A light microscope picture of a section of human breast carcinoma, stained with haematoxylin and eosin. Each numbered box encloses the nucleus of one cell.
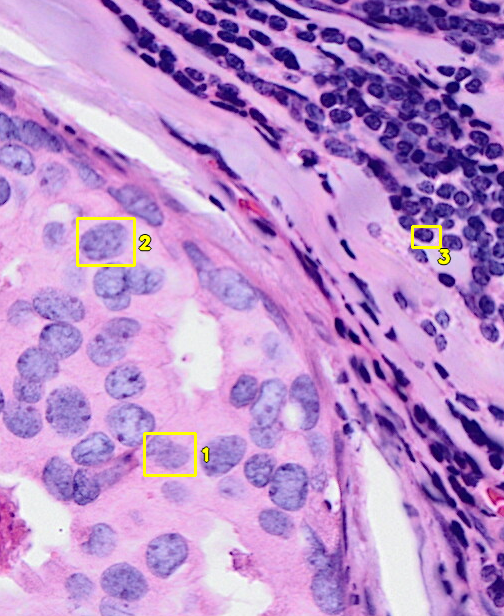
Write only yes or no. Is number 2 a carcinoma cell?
yes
